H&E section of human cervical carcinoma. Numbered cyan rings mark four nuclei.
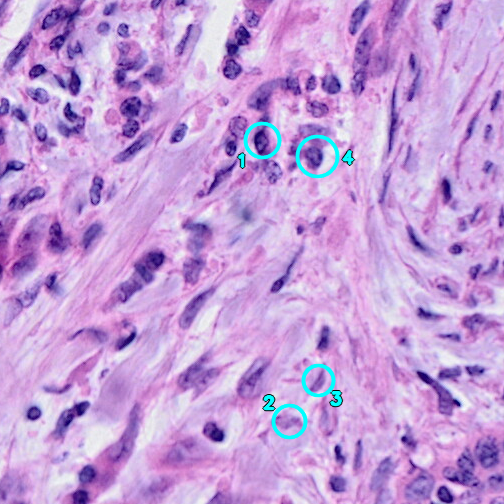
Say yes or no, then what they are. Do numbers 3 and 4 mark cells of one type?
No, cell 3 is a fibroblast, while cell 4 is a lymphocyte.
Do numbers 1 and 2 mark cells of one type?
No, unlike cell 2, which is a fibroblast, cell 1 is a lymphocyte.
